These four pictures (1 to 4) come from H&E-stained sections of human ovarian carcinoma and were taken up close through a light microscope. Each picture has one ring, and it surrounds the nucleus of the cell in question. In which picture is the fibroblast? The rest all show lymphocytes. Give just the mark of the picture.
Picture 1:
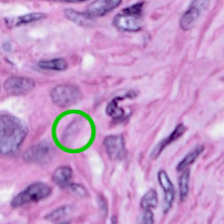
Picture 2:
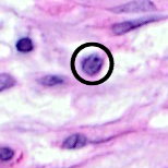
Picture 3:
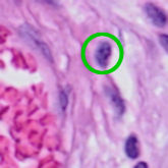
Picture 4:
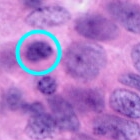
1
